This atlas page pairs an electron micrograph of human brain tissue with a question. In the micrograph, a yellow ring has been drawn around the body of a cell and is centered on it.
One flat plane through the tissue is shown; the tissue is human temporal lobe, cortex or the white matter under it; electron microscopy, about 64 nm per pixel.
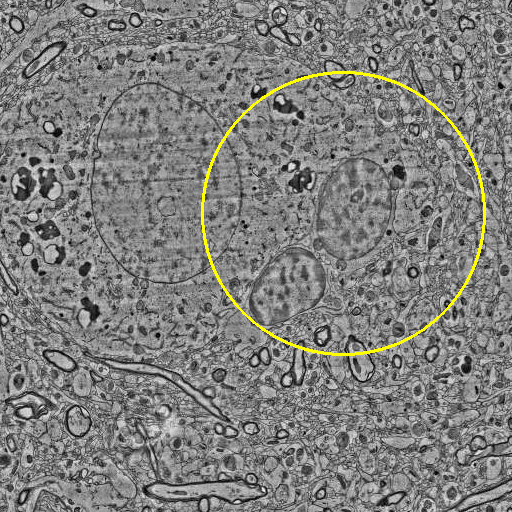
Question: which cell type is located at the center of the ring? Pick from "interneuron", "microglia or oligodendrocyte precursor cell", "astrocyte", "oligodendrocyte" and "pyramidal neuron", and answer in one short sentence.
Located at the center of the ring is an oligodendrocyte.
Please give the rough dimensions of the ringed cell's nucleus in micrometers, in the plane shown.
The nucleus has a long axis of about 7 micrometres and a short axis of about 5 micrometres in this plane.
